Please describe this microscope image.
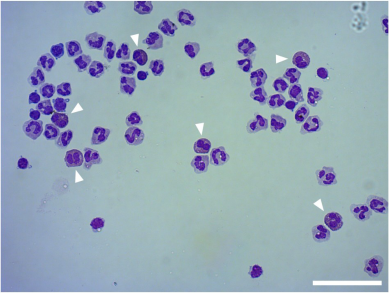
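This is a stained spread of blood leukocytes, most of them granulocytes with nuclei split into several dark purple lobes. The cytoplasm around the nuclei is pale and takes up only a light tint. The cells lie in loose clusters, many touching one another. A few marked cells, the eosinophils, show nuclei in two or so lobes set in a rounded cell body. Here and there a rounder cell with a single compact nucleus stands apart from the lobed ones.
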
